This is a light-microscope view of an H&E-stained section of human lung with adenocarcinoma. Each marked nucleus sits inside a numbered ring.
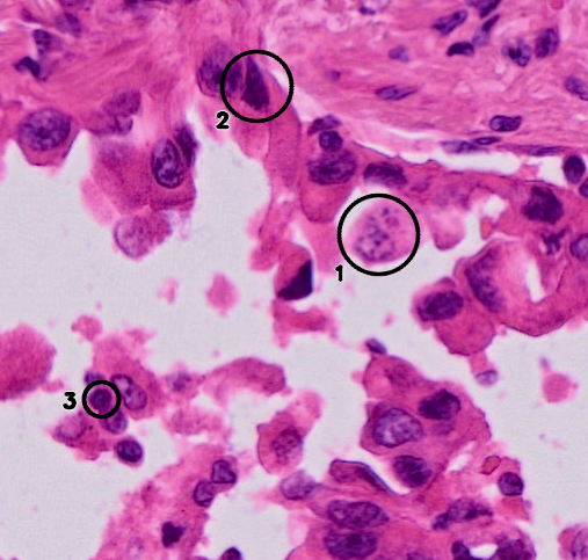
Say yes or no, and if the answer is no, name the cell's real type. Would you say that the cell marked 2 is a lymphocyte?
No, it is a carcinoma cell.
